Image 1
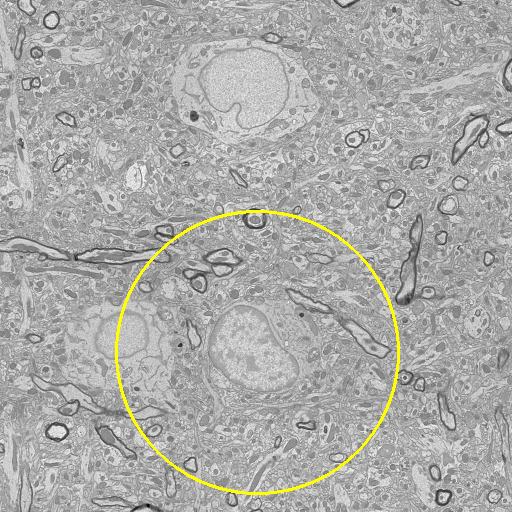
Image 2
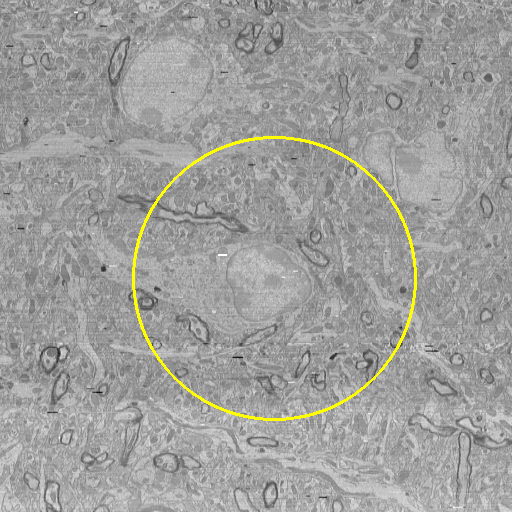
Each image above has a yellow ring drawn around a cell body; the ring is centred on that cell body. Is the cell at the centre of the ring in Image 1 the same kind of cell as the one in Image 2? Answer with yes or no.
yes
